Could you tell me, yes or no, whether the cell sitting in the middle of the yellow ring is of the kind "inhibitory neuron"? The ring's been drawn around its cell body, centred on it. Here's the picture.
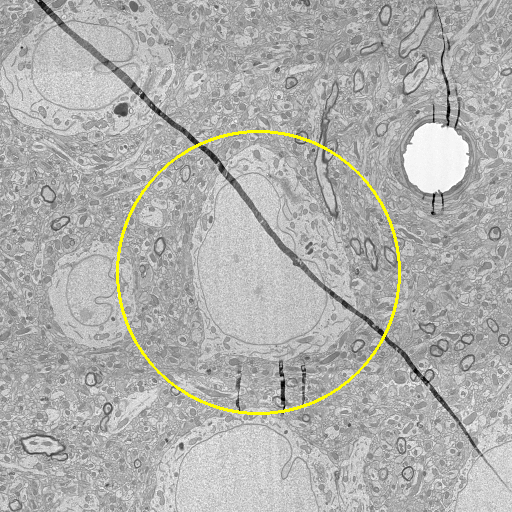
No, it is of another kind.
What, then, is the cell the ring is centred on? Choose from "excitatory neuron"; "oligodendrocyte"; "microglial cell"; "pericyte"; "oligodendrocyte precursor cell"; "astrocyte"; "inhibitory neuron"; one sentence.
The correct answer is that the cell is an excitatory neuron.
